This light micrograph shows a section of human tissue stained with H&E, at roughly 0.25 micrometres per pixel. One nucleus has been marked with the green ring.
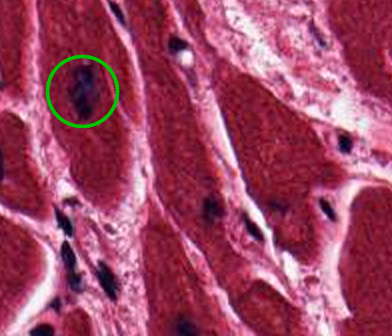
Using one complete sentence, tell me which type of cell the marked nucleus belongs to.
In this image, the nucleus that is marked belongs to a cardiomyocyte.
